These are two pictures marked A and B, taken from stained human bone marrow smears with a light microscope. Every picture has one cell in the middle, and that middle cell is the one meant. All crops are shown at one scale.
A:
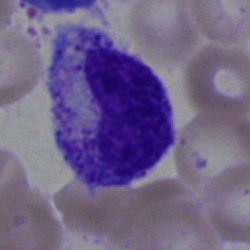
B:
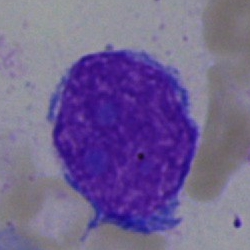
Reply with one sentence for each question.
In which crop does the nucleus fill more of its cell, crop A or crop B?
Of the two, the nucleus in crop B makes up the greater part of its cell.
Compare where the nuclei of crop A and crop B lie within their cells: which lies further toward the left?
Seen within its cell, the nucleus in crop B lies further toward the left.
